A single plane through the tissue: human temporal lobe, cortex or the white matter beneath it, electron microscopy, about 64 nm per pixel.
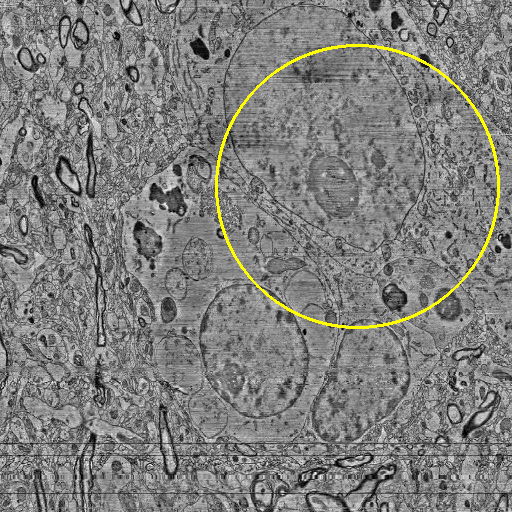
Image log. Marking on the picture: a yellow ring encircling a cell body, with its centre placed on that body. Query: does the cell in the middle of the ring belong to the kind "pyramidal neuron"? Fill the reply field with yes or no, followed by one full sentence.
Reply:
Yes, the cell at the centre of the yellow ring in this picture belongs to that kind.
